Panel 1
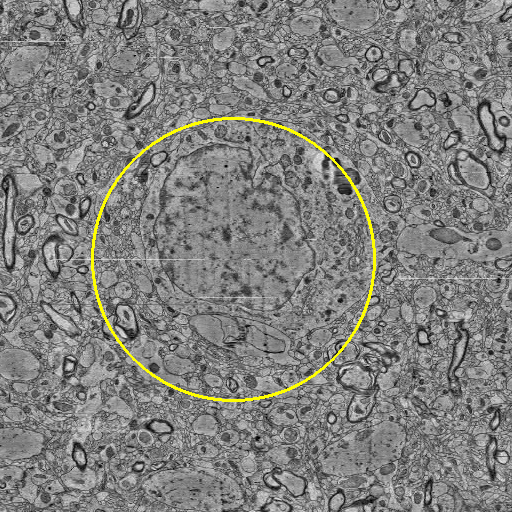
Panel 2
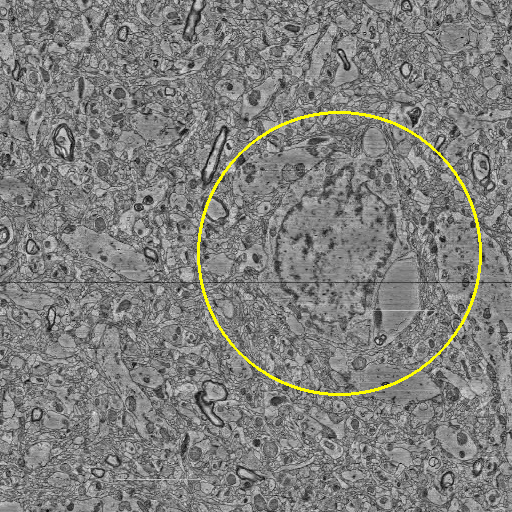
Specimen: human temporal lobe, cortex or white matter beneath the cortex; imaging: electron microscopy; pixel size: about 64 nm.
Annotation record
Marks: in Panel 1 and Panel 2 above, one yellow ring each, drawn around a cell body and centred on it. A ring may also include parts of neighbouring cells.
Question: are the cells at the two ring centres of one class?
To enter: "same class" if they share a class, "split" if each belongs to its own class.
same class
